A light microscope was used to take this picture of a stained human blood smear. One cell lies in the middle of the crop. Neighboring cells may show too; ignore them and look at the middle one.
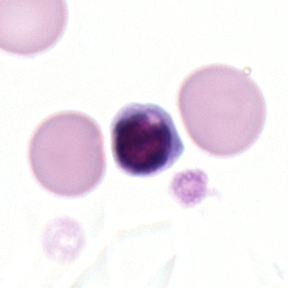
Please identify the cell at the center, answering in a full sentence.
The cell under consideration, at the middle of the crop, is a normoblast.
